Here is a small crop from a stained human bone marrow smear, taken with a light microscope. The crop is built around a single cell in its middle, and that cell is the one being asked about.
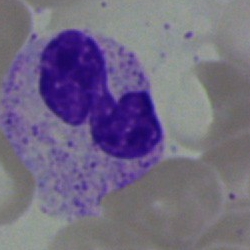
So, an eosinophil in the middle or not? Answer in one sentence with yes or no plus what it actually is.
No, the centre of the crop contains a band neutrophil rather than an eosinophil.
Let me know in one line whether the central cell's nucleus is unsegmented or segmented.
If you check the nucleus, you will find it split into two or more lobes.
